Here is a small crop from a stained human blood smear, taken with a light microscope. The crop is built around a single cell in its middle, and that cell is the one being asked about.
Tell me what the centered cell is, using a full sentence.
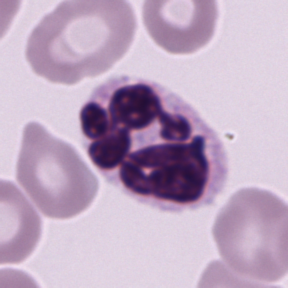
The cell positioned in the middle of the field is a neutrophil.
